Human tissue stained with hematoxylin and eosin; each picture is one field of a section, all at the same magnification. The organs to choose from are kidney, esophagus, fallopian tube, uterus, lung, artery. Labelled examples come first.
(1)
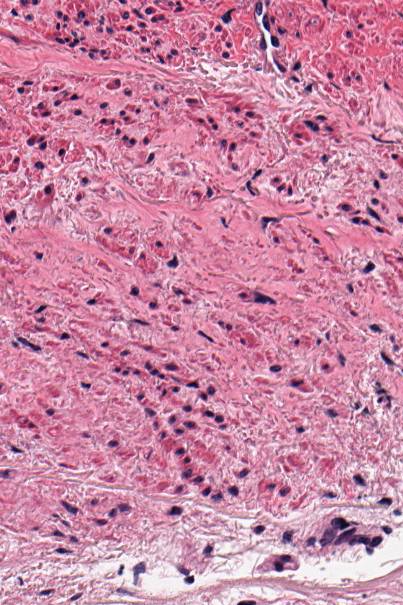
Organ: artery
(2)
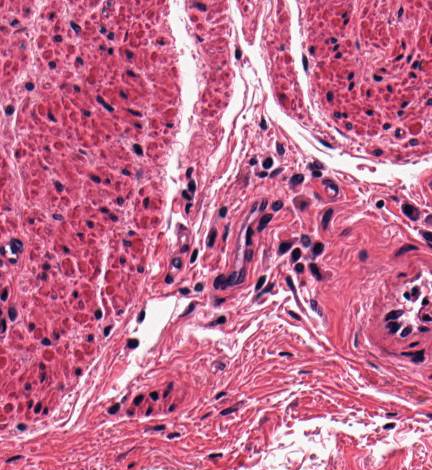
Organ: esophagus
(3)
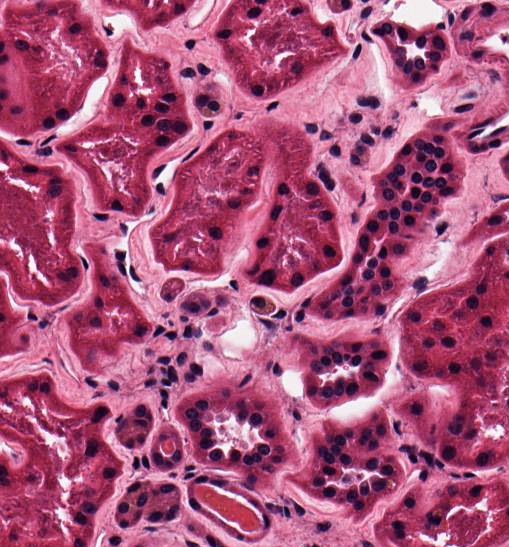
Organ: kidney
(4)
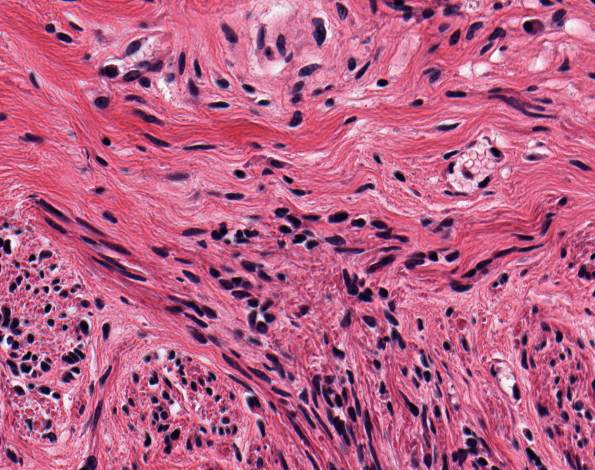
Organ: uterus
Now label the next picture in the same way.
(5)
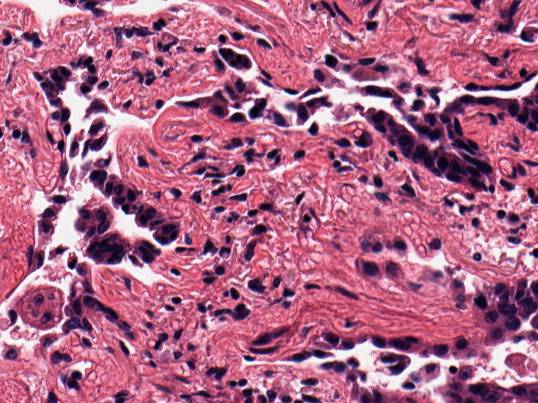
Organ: lung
